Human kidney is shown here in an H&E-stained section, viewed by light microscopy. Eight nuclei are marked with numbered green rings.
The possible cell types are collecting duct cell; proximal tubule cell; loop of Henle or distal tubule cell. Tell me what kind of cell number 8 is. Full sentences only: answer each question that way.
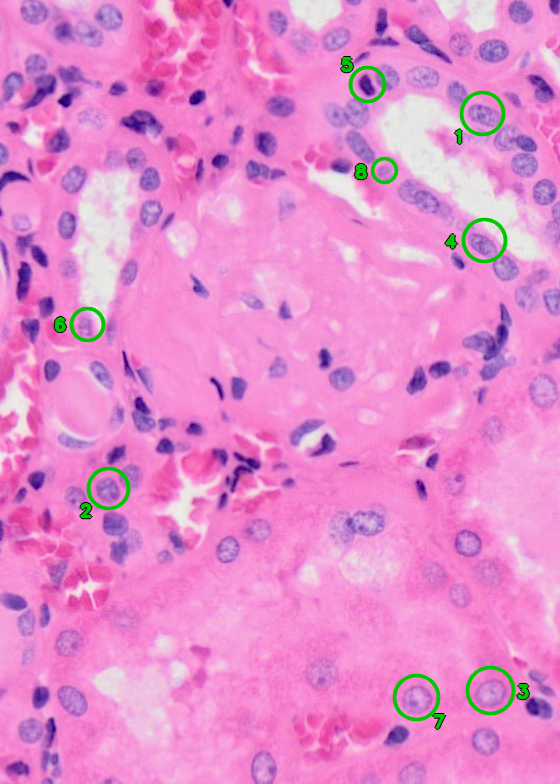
Number 8 is placed on a collecting duct cell here.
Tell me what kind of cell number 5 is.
Here the cell numbered 5 is a collecting duct cell.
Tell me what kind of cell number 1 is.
Cell 1 in the field is a collecting duct cell.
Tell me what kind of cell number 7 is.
Marked with the number 7, this cell is a proximal tubule cell.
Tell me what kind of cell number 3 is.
Cell 3 in the field is a proximal tubule cell.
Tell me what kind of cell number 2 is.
Cell 2 is classified as a loop of Henle or distal tubule cell.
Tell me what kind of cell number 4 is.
Within this field of view, the cell labelled 4 is a collecting duct cell.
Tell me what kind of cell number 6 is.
The cell bearing label 6 corresponds to a loop of Henle or distal tubule cell.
